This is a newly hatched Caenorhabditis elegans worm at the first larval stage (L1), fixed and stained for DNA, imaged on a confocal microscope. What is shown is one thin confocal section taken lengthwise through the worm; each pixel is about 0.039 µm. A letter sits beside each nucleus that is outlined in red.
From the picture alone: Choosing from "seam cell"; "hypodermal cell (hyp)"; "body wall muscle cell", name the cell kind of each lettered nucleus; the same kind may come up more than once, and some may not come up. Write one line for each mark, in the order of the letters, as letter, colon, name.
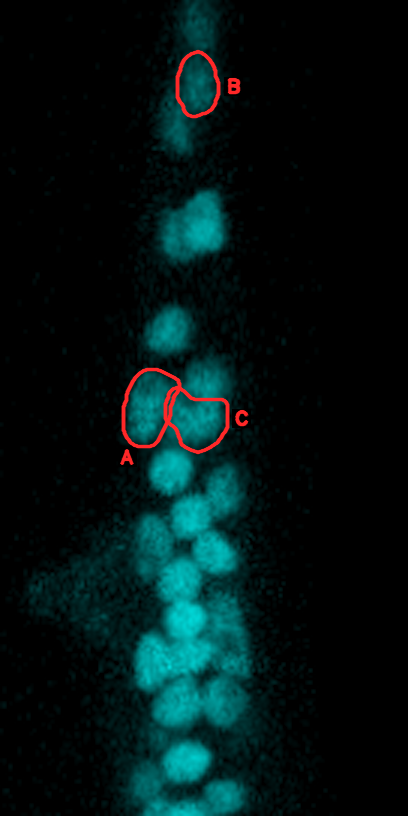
A: hypodermal cell (hyp)
B: hypodermal cell (hyp)
C: seam cell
